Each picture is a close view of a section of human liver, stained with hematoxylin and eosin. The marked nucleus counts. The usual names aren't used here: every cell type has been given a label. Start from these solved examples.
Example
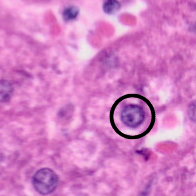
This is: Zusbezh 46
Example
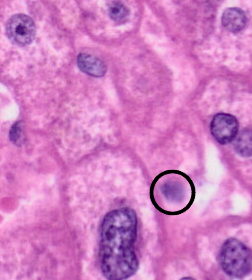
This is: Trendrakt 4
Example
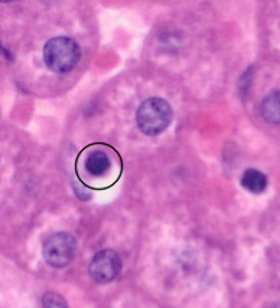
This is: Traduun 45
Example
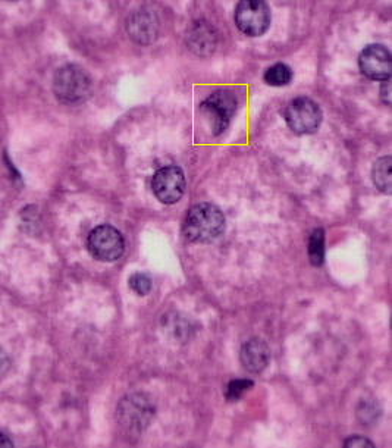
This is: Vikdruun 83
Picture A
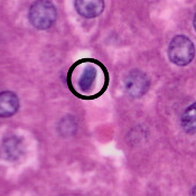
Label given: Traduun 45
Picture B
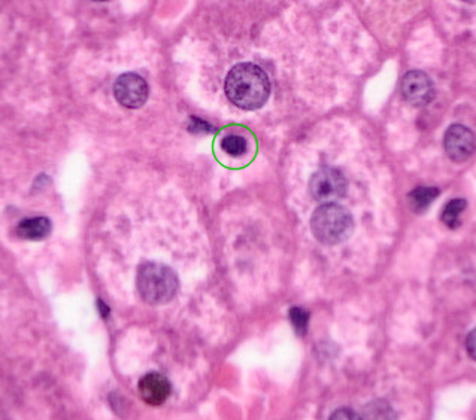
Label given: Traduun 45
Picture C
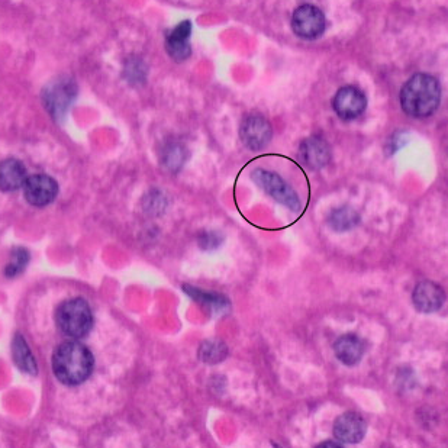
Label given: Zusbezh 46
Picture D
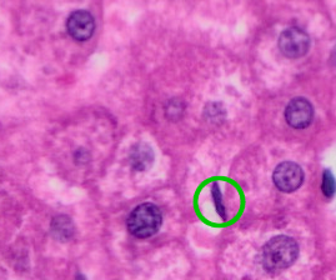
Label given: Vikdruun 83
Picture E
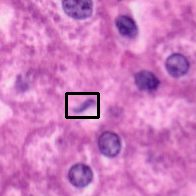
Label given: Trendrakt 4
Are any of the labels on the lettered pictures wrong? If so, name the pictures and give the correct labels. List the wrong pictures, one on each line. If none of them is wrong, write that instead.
Wrong: C (Zusbezh 46); correct: Vikdruun 83
Wrong: D (Vikdruun 83); correct: Trendrakt 4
